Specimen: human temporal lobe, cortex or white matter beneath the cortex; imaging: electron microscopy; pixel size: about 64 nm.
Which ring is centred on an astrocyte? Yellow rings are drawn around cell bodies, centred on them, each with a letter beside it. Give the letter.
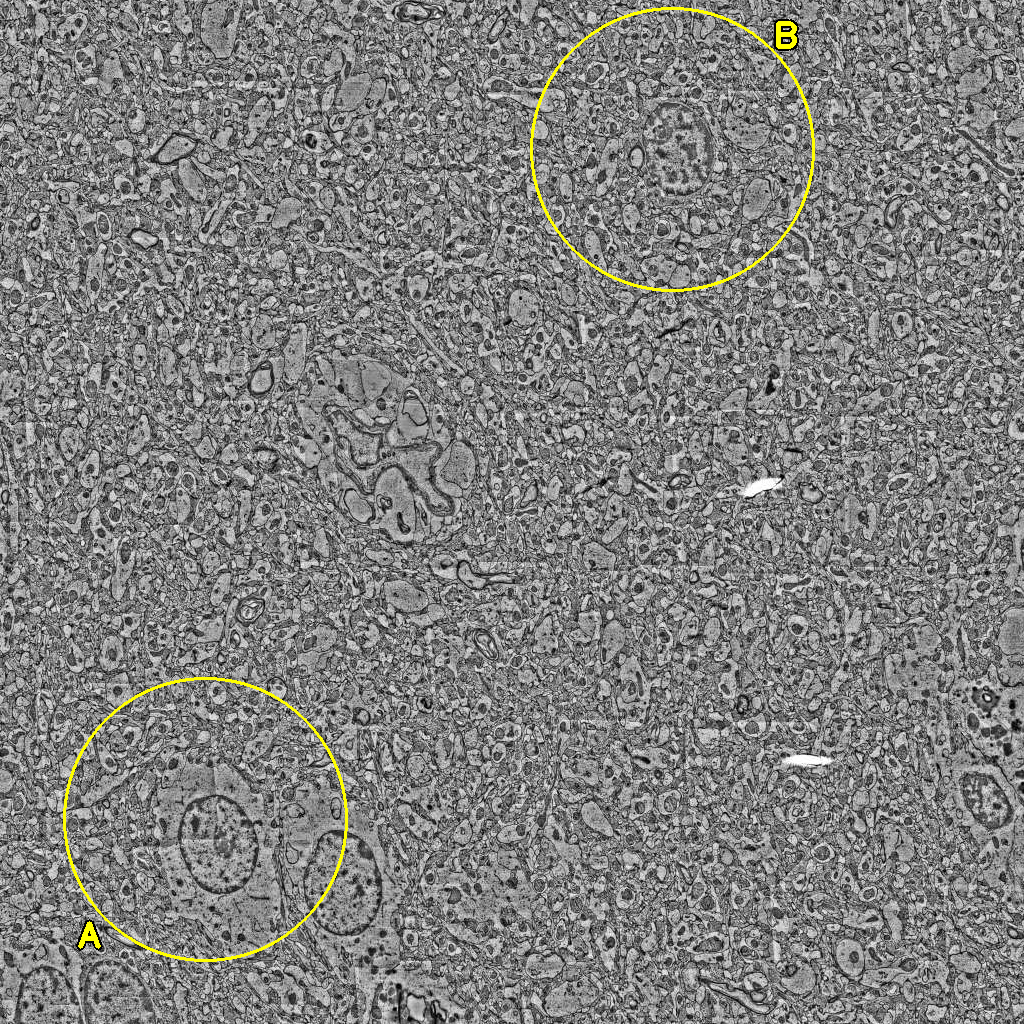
A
